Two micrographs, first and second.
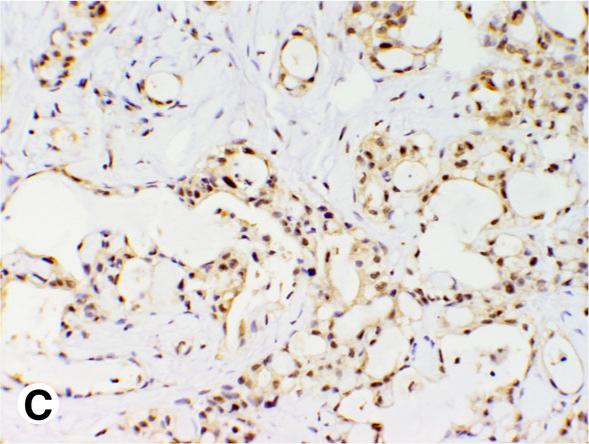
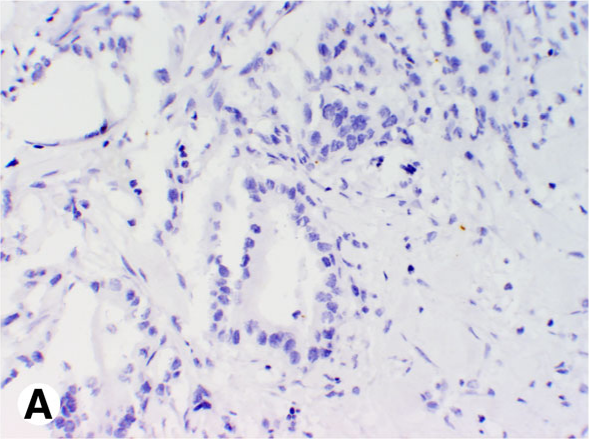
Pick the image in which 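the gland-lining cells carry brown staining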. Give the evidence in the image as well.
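First image: the cells lining the glands show light brown staining, with brown nuclei. Second image: all cells are blue only, with no brown staining.
The first image.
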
